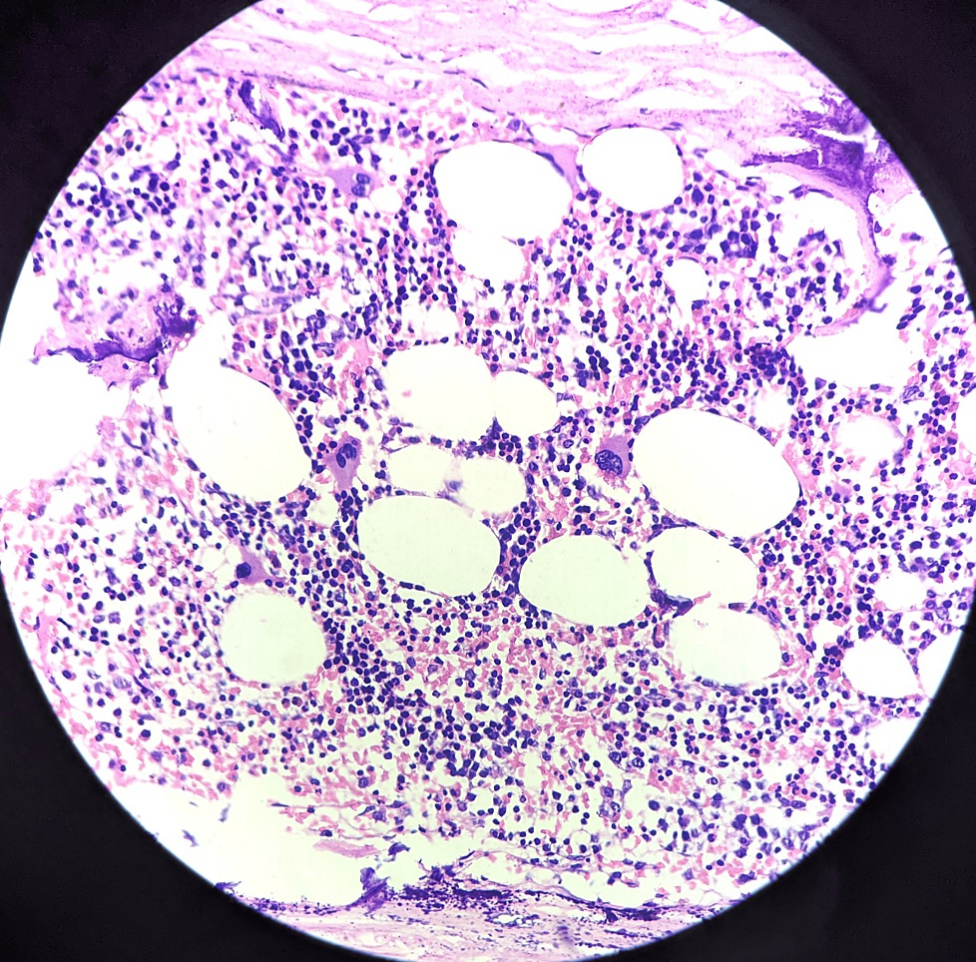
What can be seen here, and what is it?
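This is a field of bone marrow in which many small round cells with dark purple nuclei crowd together among scattered pink red blood cells, forming the hematopoietic part of the marrow. A few much larger cells with abundant pink cytoplasm and large dark lobed nuclei stand out among the smaller cells. Pink fibrous material runs along the top edge of the field.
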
